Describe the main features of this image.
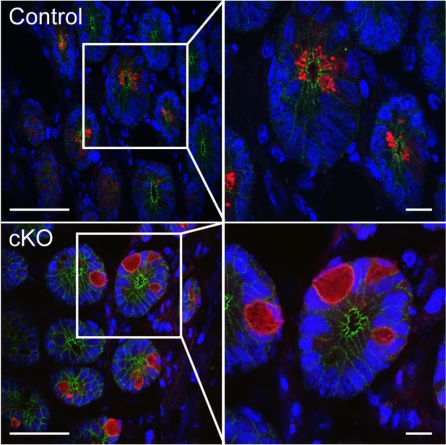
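The blue nuclei line up in a ring toward the outer edge of each crypt, and green lines outline the borders between neighbouring cells, converging on the lumen. In the upper images the red material lies in many small separate granules, gathered in the cell tops close to the lumen. In the lower images the red fills large round masses that bulge within cells at the crypt rim, and the separate granules are hard to make out. Thin strands of connective tissue with scattered nuclei lie between the crypts.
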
